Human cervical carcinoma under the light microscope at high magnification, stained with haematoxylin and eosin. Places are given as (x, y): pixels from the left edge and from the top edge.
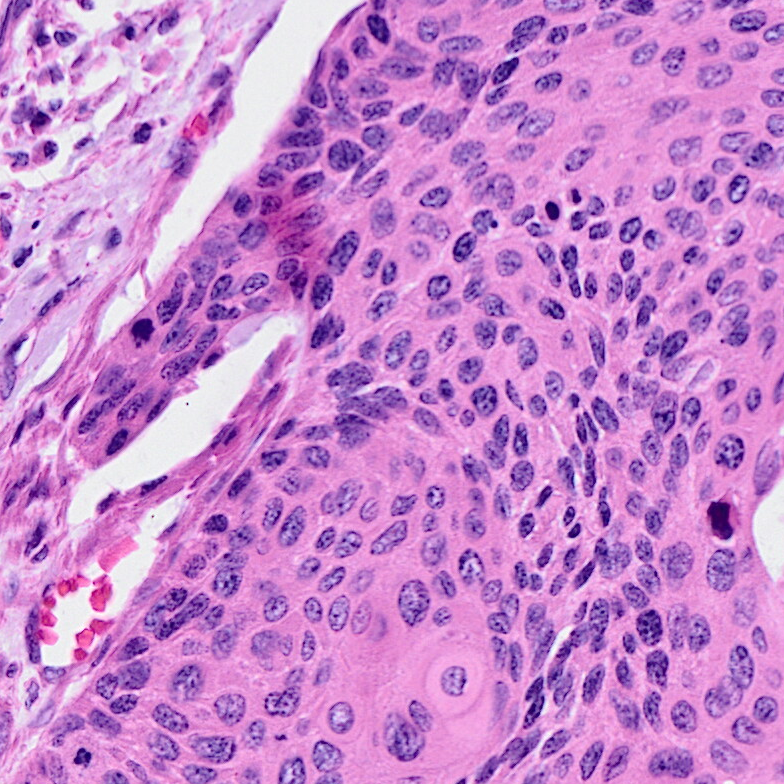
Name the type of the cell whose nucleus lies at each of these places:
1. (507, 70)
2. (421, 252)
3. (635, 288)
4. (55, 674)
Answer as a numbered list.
1. squamous carcinoma cell
2. squamous carcinoma cell
3. squamous carcinoma cell
4. endothelial cell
